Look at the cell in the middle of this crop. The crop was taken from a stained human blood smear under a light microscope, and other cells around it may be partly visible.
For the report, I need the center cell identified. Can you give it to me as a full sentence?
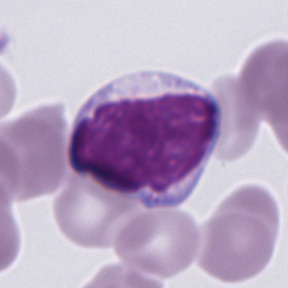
Of the cells in this crop, the central one is a large granular lymphocyte.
